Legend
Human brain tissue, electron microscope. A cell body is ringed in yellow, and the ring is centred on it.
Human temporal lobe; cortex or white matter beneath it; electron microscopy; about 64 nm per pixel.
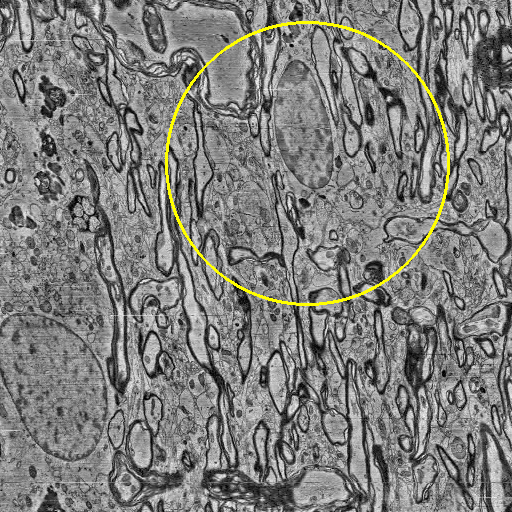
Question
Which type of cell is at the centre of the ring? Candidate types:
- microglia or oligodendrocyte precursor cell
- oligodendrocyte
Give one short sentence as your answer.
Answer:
The yellow ring is centred here on a microglial cell or oligodendrocyte precursor cell.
